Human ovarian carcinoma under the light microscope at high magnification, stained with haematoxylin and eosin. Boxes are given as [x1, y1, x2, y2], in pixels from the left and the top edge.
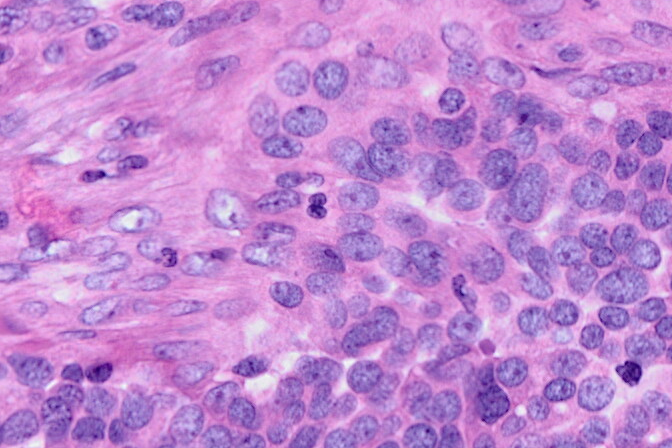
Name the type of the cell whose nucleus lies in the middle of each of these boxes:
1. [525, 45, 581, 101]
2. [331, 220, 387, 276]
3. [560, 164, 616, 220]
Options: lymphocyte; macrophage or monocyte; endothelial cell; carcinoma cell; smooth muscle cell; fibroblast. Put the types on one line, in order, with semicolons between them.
fibroblast; carcinoma cell; carcinoma cell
